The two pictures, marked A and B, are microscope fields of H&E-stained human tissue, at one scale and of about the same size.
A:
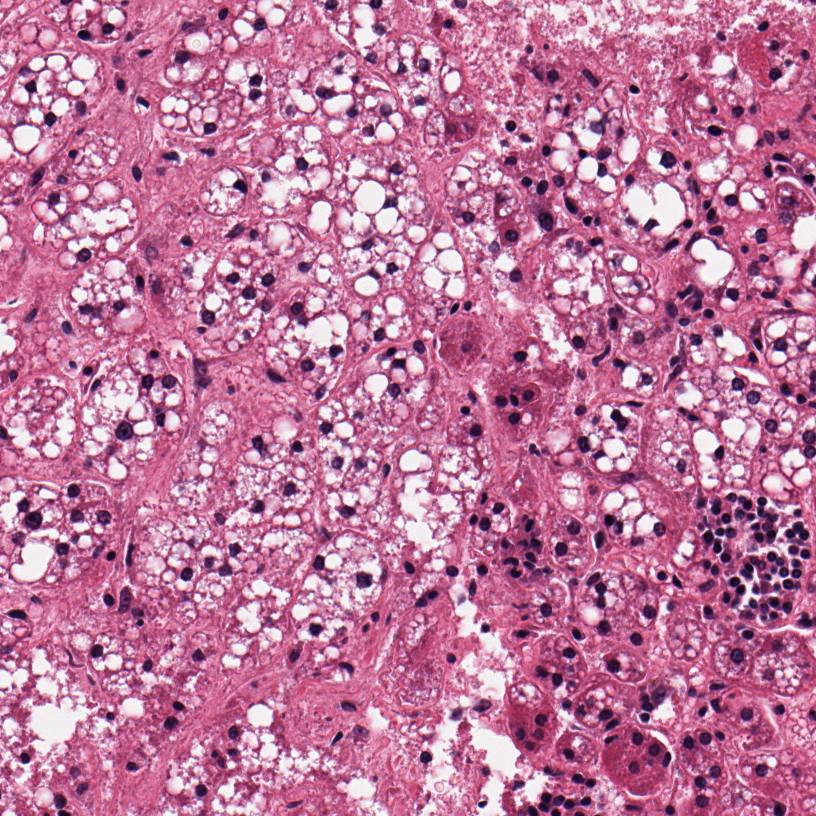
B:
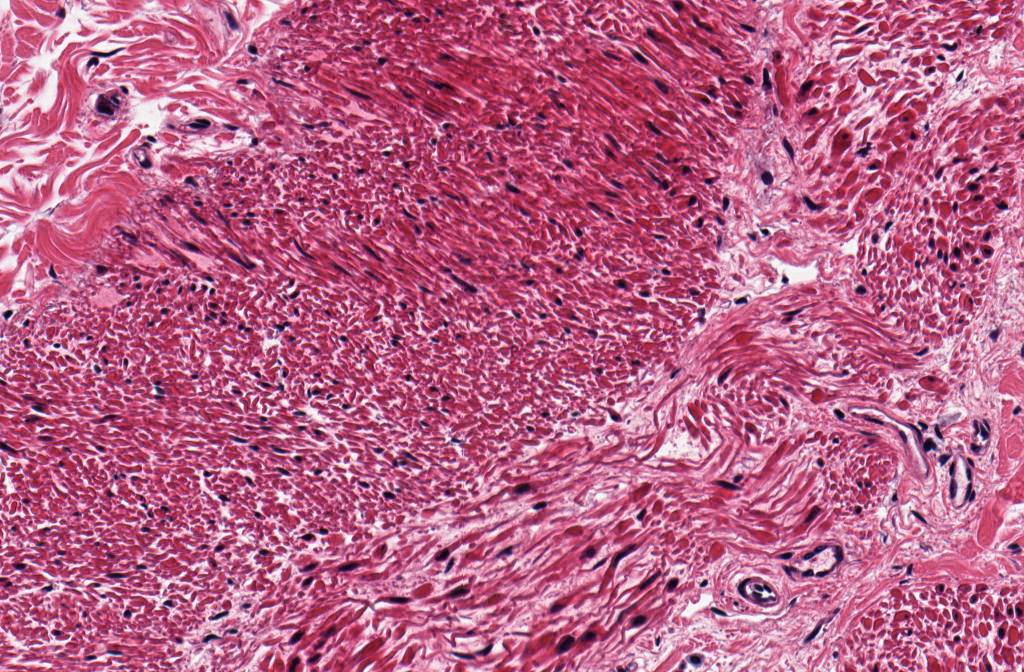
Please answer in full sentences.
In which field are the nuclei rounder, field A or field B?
It is field A whose nuclei are the rounder.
